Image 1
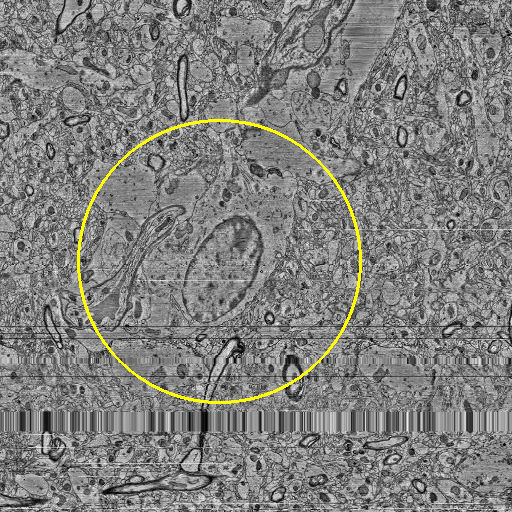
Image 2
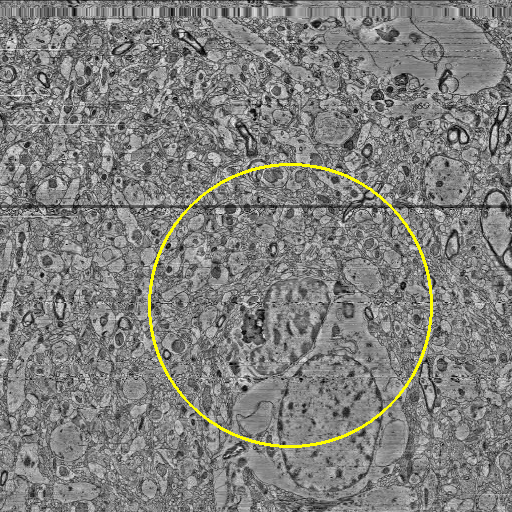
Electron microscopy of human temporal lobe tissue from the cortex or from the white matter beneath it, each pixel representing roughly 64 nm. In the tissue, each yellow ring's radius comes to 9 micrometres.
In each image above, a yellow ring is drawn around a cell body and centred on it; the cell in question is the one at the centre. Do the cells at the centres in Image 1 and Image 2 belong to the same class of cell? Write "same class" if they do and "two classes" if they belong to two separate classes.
same class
